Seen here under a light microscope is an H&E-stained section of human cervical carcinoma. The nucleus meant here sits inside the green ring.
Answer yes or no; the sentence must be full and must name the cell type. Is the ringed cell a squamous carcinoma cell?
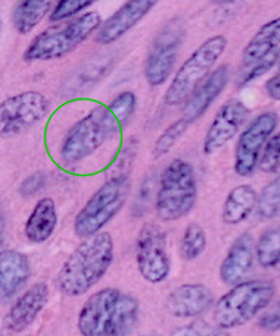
Yes, to put it simply, the ringed cell is a squamous carcinoma cell.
